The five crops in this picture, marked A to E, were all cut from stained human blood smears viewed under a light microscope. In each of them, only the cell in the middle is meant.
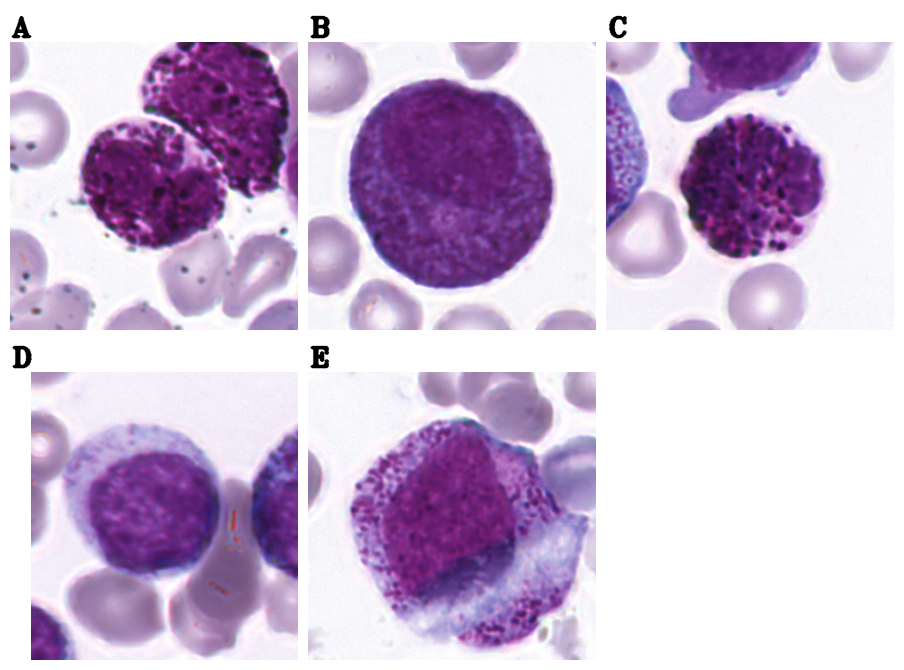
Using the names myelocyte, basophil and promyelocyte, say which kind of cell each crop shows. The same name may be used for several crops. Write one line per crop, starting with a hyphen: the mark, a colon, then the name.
- A: basophil
- B: promyelocyte
- C: basophil
- D: myelocyte
- E: promyelocyte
